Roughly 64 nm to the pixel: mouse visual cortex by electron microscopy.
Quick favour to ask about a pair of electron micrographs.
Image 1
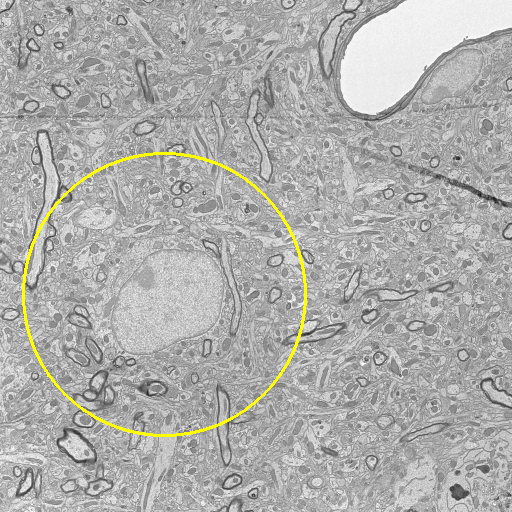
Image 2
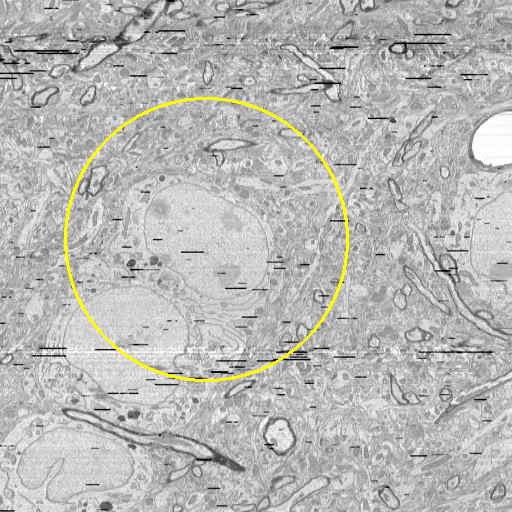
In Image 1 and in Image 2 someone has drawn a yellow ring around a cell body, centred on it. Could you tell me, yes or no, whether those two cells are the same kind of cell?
no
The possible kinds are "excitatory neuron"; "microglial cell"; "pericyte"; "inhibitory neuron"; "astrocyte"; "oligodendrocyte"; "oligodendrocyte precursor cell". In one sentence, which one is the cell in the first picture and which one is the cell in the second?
The cell ringed in the second picture is an excitatory neuron, whereas the one ringed in the first is an astrocyte.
